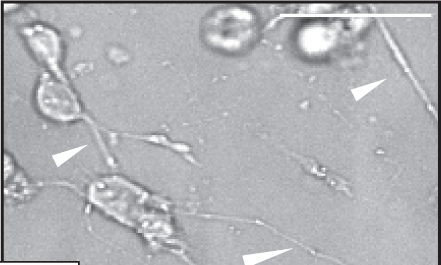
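Several cell bodies have granular contents and send out long, very thin processes that run straight or gently curving across the field. A few round, bright, refractile cells sit at the upper edge. The thin extensions are protrusions that the cells grow out across the open area.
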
